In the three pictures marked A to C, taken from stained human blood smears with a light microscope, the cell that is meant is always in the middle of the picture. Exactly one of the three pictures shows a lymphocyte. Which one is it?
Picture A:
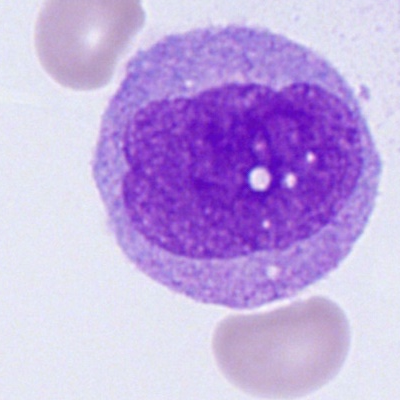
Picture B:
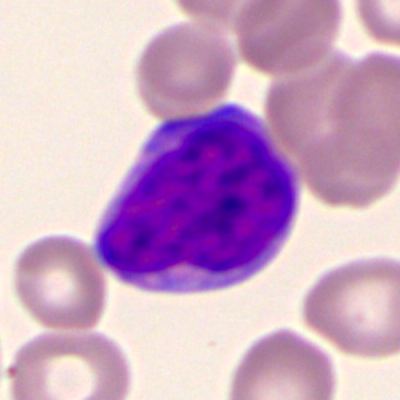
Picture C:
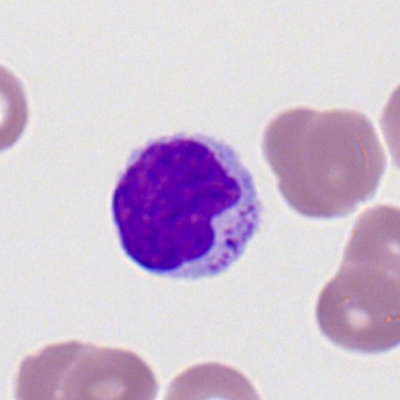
C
